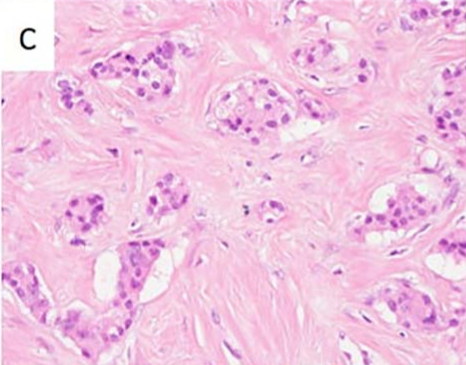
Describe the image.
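This is tumor tissue made of nests of large clear cells lying in dense pink fibrous stroma. The nests are small, rounded or irregular clusters of cells, separated from each other by bands of collagen. The tumor cells have round, dark purple nuclei and pale to clear cytoplasm. Some nests enclose small empty spaces, giving them a gland-like look. The stroma between the nests holds only scattered thin, elongated nuclei.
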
